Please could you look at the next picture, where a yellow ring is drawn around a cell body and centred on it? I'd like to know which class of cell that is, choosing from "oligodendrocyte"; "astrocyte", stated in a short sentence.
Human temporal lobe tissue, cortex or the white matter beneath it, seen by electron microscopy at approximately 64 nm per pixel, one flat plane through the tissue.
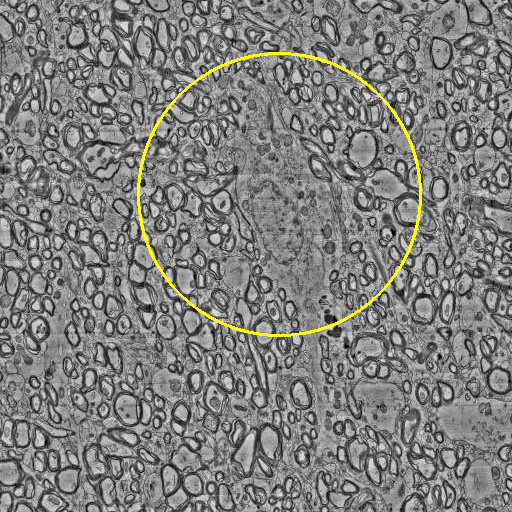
The ring's centre lies on an astrocyte.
